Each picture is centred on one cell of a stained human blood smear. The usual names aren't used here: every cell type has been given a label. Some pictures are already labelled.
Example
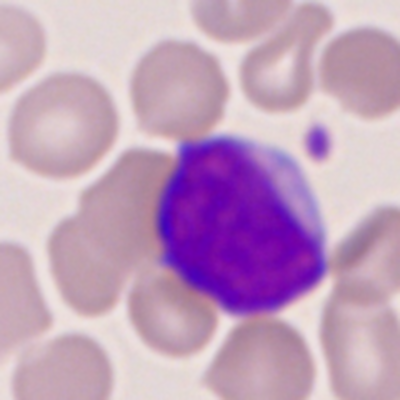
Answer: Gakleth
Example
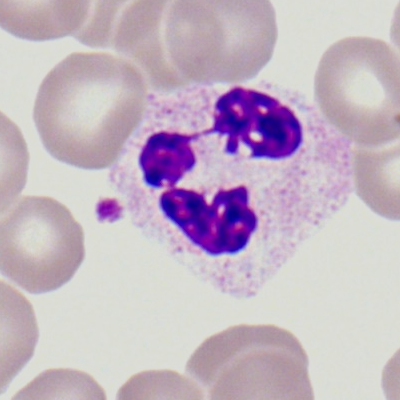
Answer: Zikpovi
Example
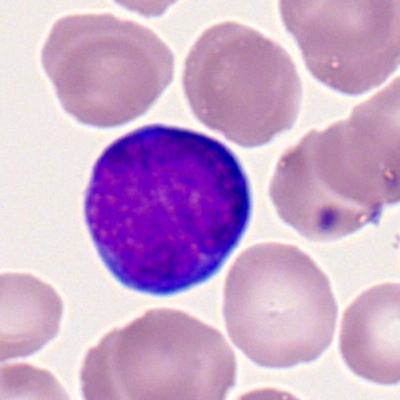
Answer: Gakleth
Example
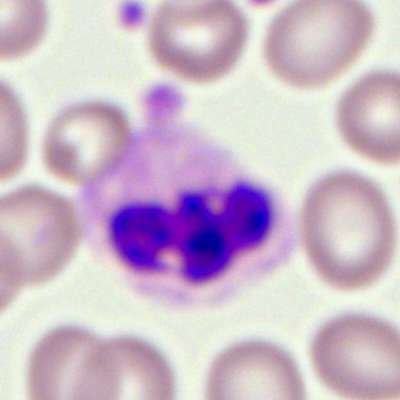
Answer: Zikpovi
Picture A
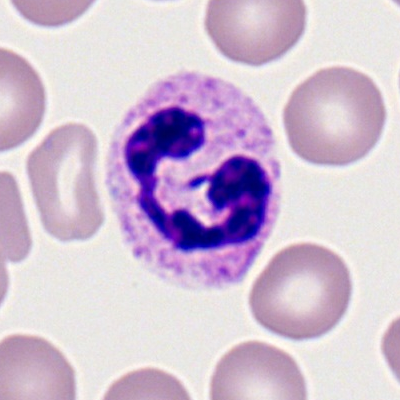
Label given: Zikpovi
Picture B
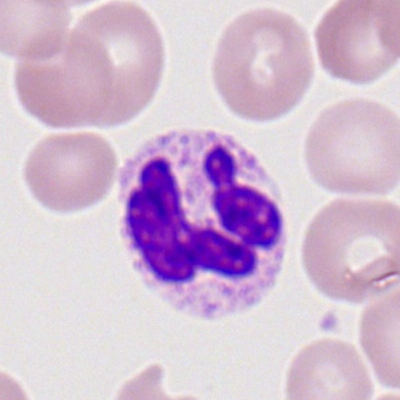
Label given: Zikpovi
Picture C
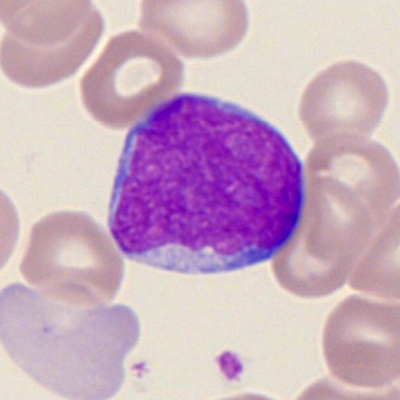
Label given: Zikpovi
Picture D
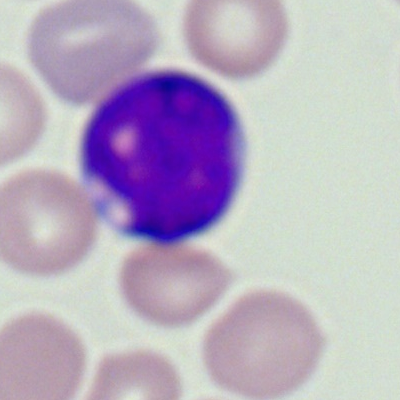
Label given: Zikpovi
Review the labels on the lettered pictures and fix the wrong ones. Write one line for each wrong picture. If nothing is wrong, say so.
Wrong: C (Zikpovi); correct: Gakleth
Wrong: D (Zikpovi); correct: Gakleth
